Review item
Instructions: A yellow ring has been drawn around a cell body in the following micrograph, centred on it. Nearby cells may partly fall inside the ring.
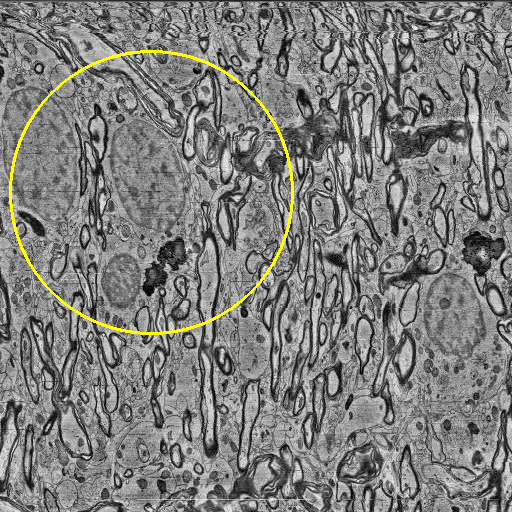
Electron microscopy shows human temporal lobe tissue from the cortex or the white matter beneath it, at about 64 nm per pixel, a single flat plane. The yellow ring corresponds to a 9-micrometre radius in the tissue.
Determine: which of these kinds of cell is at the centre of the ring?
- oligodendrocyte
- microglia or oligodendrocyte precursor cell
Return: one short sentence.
The cell body in the middle of the ring is that of an oligodendrocyte.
